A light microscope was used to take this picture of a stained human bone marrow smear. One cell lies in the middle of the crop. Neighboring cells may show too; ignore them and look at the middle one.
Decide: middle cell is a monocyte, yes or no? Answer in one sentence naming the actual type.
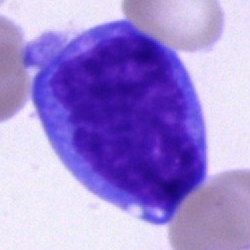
No, what occupies the middle of the crop is a blast and not a monocyte.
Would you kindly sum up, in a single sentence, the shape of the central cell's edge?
Irregular rather than smooth, the cell margin shows ragged areas or projections.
